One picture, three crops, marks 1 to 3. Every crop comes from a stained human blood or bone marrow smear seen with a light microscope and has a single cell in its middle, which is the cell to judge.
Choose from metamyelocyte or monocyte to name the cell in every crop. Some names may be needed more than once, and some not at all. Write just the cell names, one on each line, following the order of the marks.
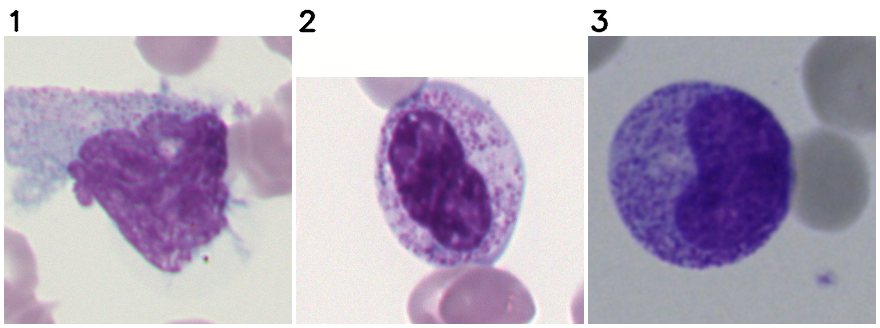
monocyte
metamyelocyte
metamyelocyte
